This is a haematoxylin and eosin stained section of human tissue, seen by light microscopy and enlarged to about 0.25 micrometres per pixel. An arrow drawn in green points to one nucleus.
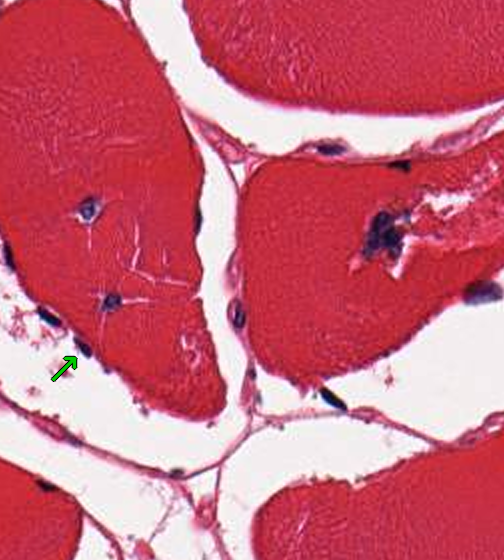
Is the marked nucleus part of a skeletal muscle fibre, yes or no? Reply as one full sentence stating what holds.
Yes, within this field the marked nucleus is that of a skeletal muscle fibre.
